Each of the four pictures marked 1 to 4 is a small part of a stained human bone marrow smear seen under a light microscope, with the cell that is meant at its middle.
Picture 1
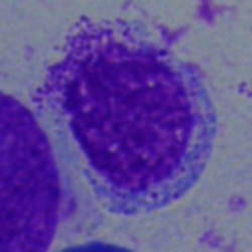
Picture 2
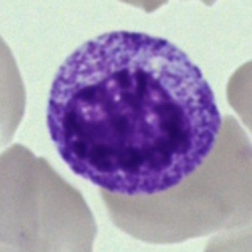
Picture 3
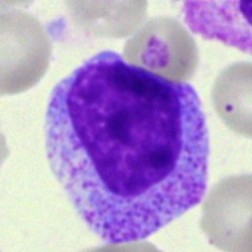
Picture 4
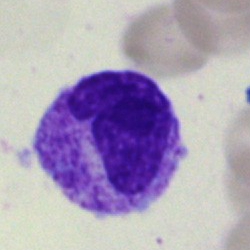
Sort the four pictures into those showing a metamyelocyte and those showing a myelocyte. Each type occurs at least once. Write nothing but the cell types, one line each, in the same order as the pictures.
myelocyte
myelocyte
myelocyte
metamyelocyte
